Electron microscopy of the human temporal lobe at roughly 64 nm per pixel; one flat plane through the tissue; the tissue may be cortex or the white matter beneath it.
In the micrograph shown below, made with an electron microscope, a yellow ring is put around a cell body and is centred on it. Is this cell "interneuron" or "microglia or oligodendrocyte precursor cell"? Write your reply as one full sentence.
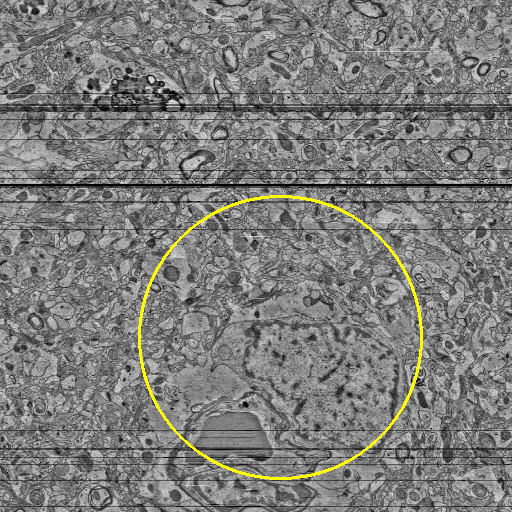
In the micrograph, a microglial cell or oligodendrocyte precursor cell is the cell at the centre of the yellow ring.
